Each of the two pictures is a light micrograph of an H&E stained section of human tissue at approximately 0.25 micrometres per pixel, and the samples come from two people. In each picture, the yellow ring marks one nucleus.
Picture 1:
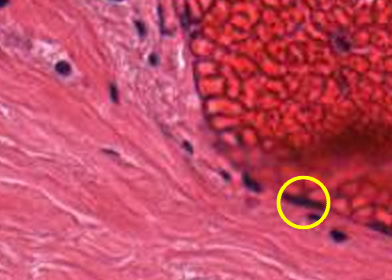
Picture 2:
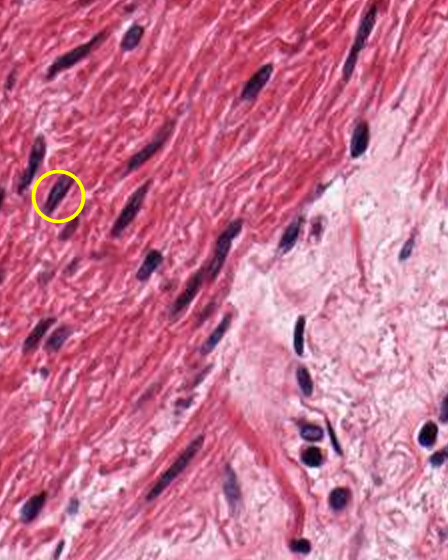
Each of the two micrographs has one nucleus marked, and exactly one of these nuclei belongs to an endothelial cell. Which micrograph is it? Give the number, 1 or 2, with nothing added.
1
